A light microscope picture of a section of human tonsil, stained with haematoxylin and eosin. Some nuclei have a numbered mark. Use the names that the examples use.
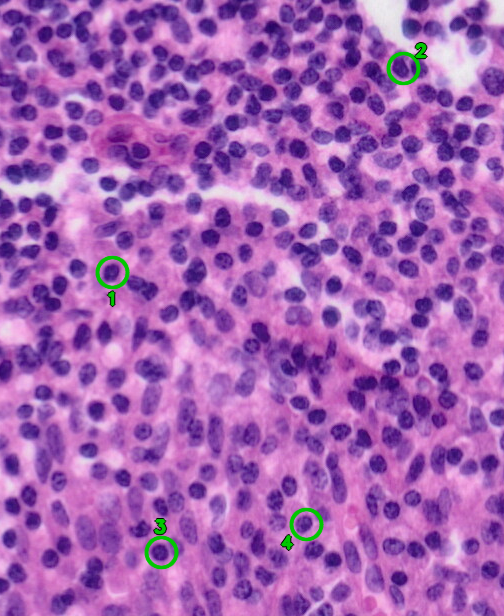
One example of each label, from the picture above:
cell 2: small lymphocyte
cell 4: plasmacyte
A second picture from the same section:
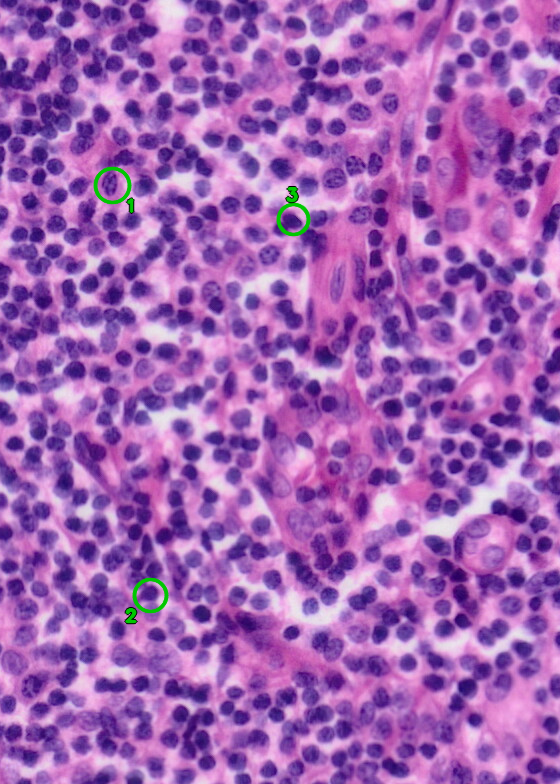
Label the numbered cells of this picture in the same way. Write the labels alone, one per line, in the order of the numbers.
plasmacyte
small lymphocyte
small lymphocyte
